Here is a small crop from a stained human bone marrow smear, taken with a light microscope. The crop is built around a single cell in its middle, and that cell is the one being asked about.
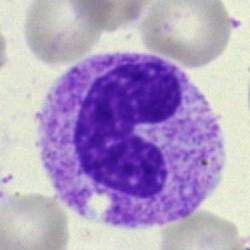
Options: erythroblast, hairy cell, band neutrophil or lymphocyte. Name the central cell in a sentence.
Whatever else lies nearby, the middle cell is a band neutrophil.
